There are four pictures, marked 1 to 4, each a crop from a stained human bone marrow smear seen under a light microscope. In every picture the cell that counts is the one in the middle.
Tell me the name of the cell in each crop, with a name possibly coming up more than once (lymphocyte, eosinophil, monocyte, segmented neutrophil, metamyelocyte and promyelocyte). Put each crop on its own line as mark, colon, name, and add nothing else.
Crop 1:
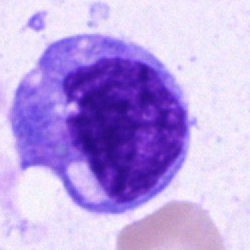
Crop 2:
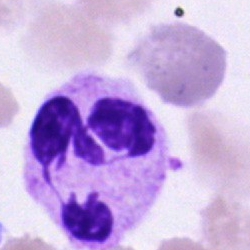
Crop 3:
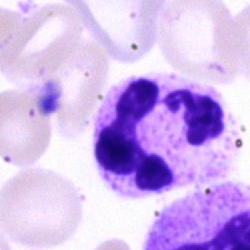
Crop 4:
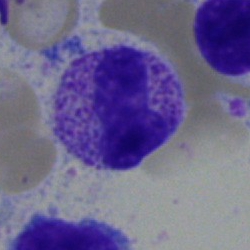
1: monocyte
2: segmented neutrophil
3: segmented neutrophil
4: metamyelocyte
